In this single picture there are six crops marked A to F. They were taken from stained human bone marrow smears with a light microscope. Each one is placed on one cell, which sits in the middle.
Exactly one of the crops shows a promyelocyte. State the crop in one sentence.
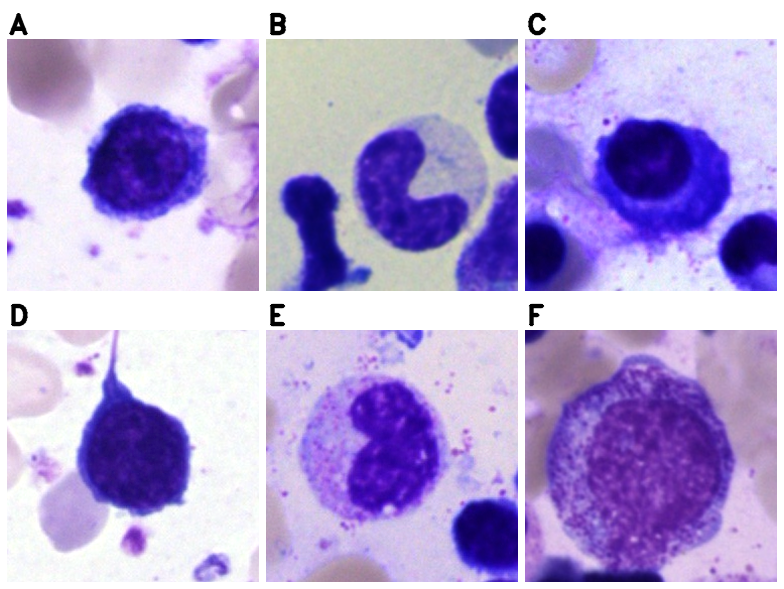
The crop marked F is the one in which a promyelocyte is shown.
